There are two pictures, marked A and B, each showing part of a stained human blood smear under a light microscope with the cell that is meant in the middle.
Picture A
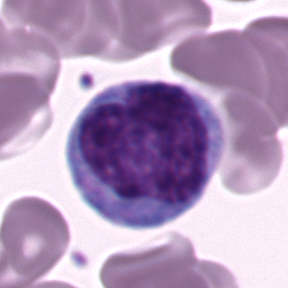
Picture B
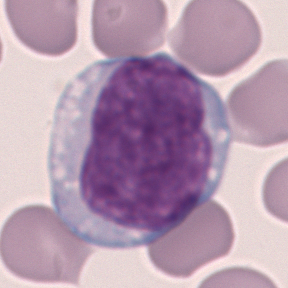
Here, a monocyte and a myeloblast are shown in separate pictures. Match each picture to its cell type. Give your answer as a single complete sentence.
In picture A the cell is a monocyte; in picture B, a myeloblast.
